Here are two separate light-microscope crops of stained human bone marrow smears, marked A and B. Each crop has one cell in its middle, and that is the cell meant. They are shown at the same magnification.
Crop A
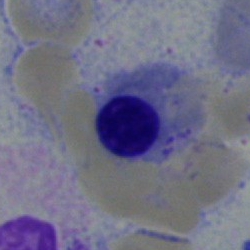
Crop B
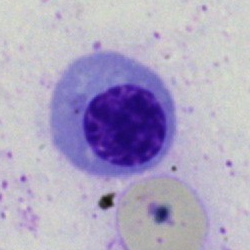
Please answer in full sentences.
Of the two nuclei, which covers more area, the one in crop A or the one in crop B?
Crop B shows the larger nucleus; it covers about 2 times the area of the nucleus in crop A.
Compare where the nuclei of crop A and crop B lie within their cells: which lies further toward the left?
The nucleus in crop A lies further toward the left of its cell.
